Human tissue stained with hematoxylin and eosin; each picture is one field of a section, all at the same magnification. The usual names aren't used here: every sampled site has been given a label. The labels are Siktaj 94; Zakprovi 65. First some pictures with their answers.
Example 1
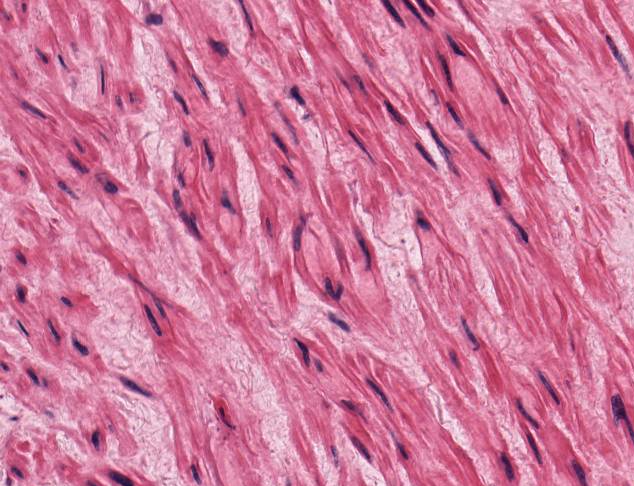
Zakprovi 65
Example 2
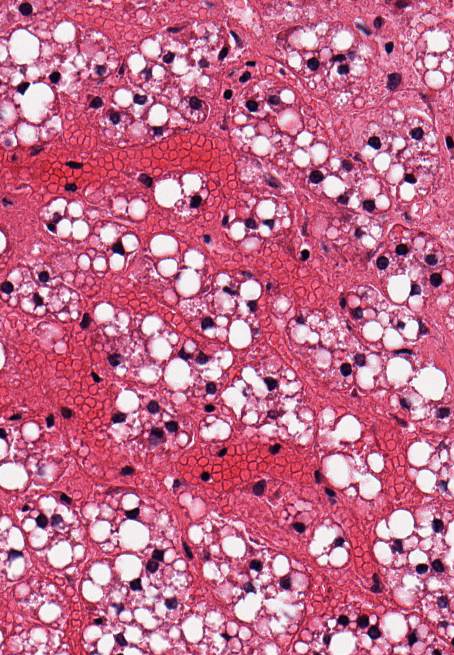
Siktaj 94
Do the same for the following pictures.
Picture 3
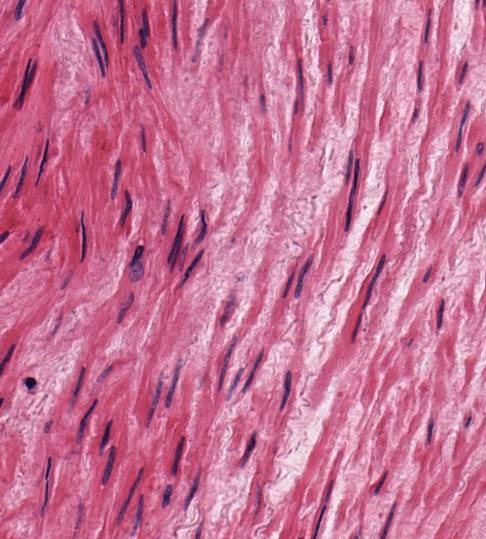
Zakprovi 65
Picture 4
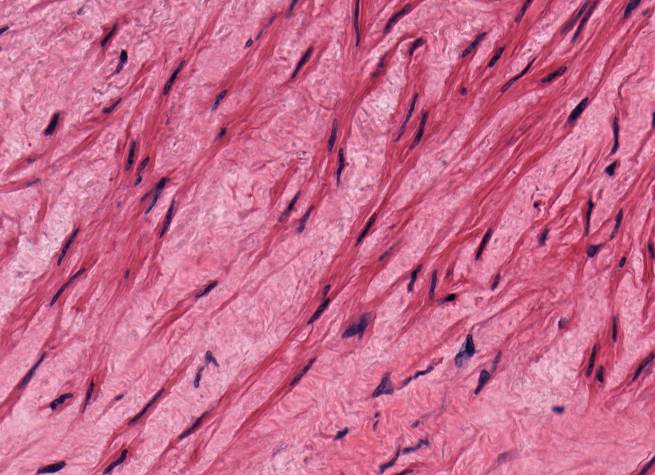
Zakprovi 65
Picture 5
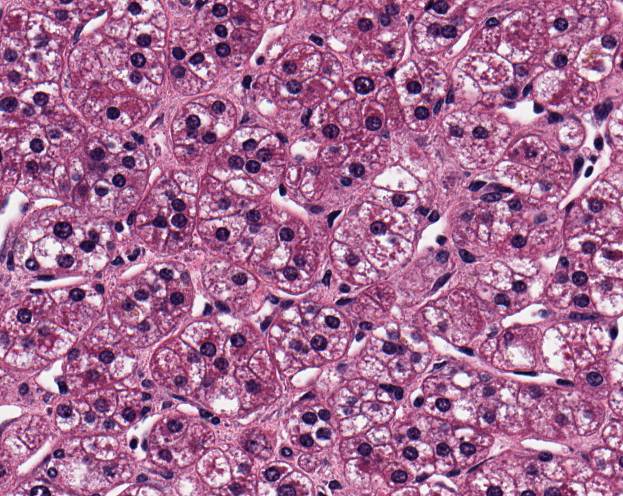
Siktaj 94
